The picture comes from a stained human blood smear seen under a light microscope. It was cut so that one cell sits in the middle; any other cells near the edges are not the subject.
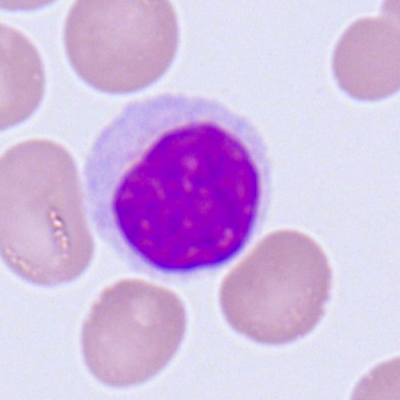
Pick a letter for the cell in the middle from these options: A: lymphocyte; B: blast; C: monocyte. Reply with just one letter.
A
